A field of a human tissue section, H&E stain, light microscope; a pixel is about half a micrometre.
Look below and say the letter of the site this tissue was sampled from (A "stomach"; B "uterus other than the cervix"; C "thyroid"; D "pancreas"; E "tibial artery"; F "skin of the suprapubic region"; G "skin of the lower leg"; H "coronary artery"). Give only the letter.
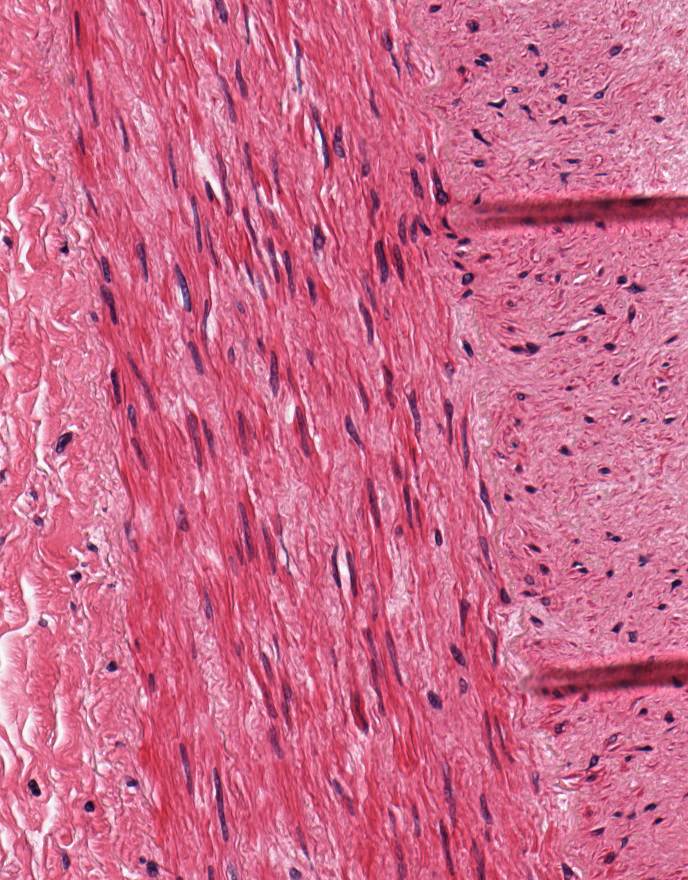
H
